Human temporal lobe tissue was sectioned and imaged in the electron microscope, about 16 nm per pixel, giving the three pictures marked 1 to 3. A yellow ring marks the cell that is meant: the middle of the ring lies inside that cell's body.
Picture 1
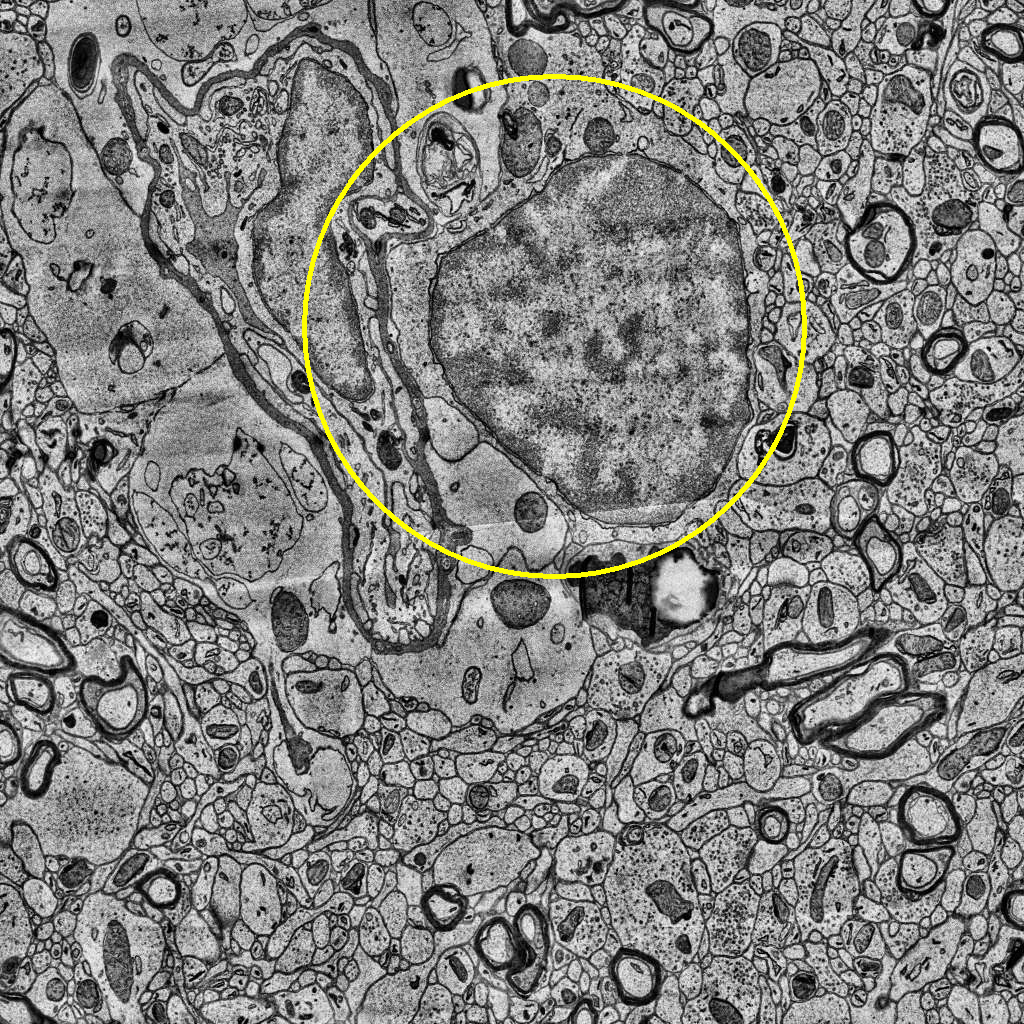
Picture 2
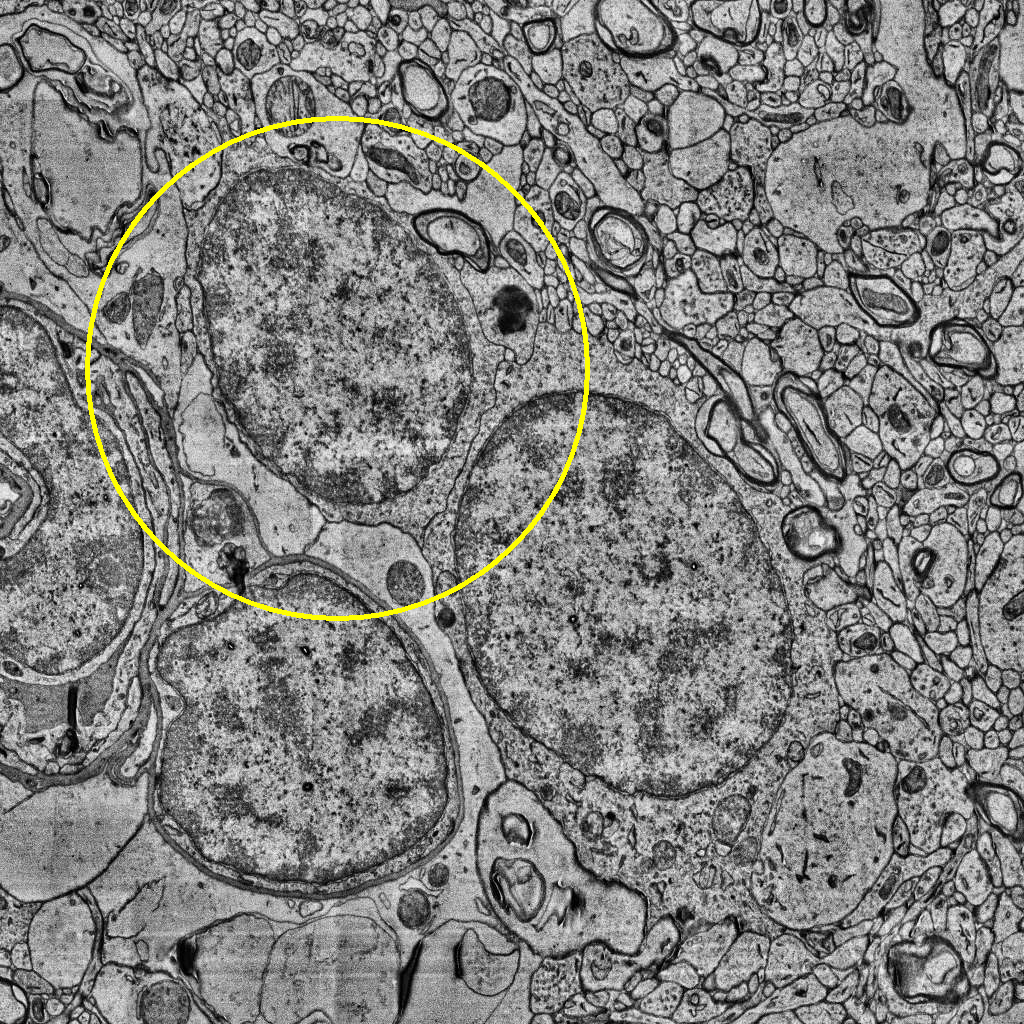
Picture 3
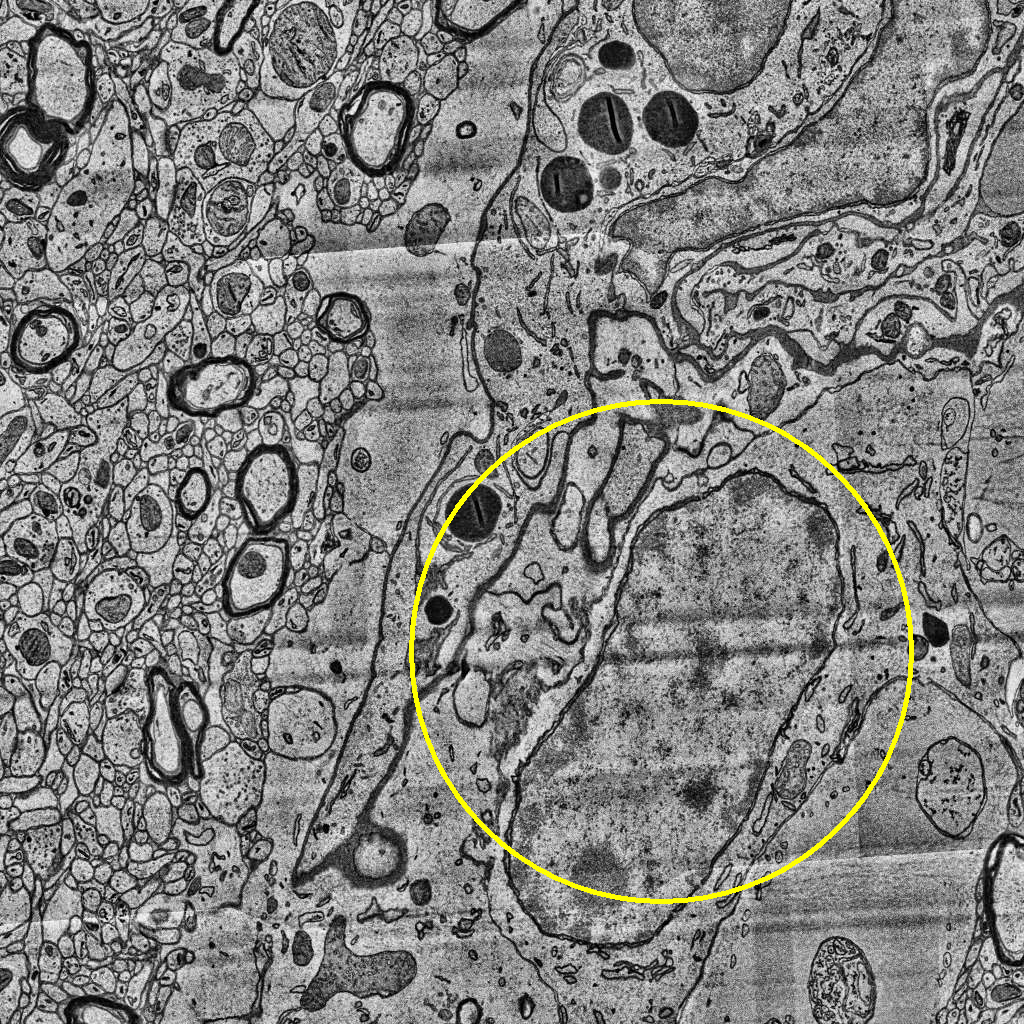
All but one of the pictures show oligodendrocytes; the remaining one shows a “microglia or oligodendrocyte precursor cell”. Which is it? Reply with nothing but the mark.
3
